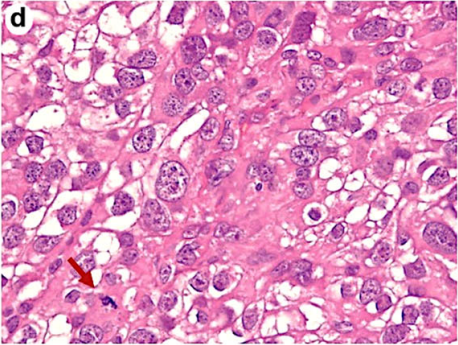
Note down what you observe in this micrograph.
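At high power, large tumor cells lie crowded with pale, partly clear or vacuolated cytoplasm. Their nuclei are big, oval to irregular, with open chromatin and conspicuous nucleoli. An arrow points to a small dark clump of condensed chromatin without a nuclear membrane, a mitotic figure, in keeping with a high mitotic count.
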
